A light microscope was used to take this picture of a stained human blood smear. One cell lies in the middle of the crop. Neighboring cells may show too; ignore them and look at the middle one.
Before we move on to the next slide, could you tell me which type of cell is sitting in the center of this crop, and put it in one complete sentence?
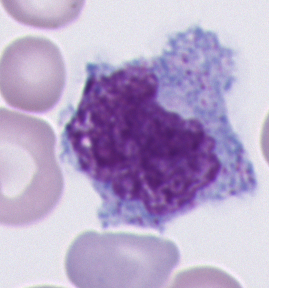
The cell featured at the centre of this crop is a promyelocyte.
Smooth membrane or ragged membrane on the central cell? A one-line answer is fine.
Irregularity marks the cell border, whether as raggedness or as projections.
